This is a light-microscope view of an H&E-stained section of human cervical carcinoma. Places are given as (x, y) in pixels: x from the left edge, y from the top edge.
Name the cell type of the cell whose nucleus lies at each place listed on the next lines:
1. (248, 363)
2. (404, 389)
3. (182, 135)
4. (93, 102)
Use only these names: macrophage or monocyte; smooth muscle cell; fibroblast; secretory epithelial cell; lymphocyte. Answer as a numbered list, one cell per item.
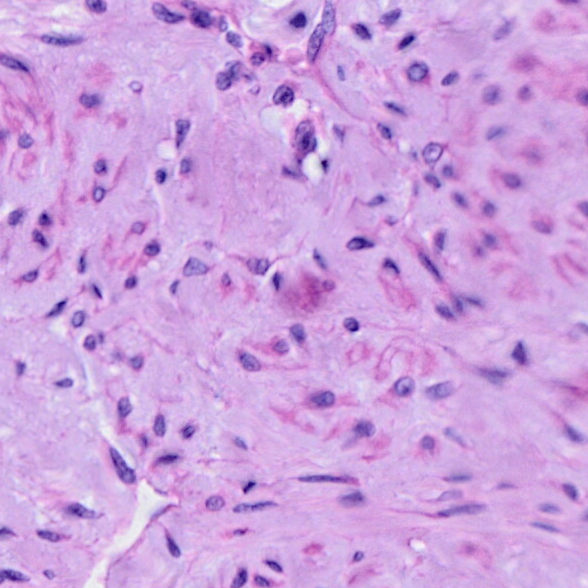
1. smooth muscle cell
2. smooth muscle cell
3. fibroblast
4. smooth muscle cell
